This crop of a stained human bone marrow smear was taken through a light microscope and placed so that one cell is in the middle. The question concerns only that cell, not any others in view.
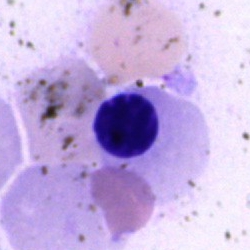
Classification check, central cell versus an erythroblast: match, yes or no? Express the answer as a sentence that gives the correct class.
Yes, the middle cell here is an erythroblast.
